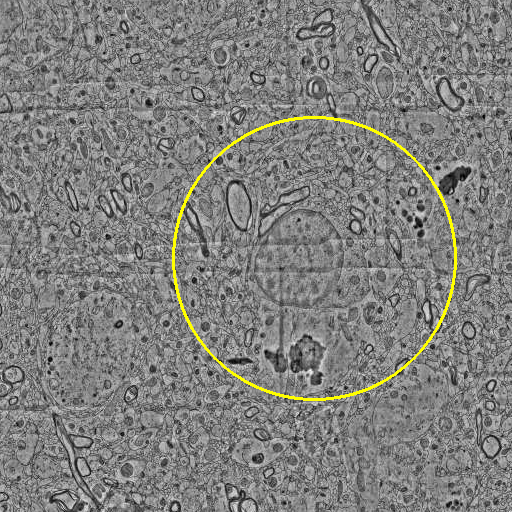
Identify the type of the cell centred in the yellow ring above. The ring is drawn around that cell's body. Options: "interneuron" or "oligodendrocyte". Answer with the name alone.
oligodendrocyte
